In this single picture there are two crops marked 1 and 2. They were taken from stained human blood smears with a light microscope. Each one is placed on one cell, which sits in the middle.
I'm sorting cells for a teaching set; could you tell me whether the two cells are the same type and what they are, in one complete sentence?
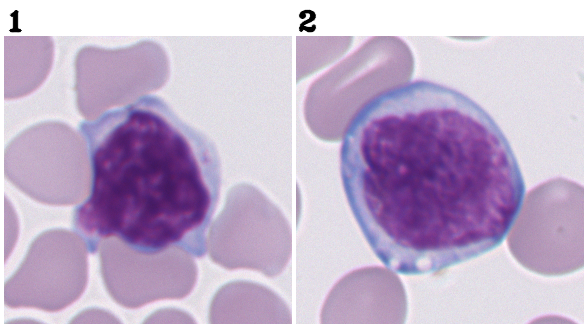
No, within crop 1 lies a typical lymphocyte, and within crop 2 lies a myeloblast.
